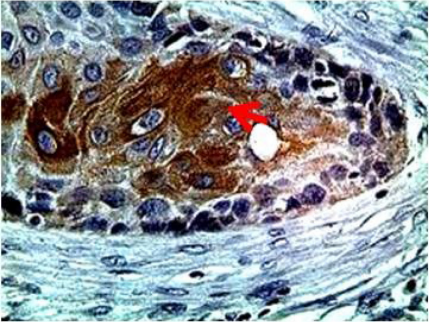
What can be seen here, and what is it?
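The tumour cells are large and polygonal, with abundant cytoplasm that stains an intense brown, and enlarged oval blue nuclei, several with visible nucleoli. Within the nest the cells are packed closely and some cytoplasm appears swirled. Around the nest lie stromal cells with slender, elongated blue nuclei and pale cytoplasm that does not take the brown stain. A red arrow points to the brown-stained cytoplasm of a tumour cell.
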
